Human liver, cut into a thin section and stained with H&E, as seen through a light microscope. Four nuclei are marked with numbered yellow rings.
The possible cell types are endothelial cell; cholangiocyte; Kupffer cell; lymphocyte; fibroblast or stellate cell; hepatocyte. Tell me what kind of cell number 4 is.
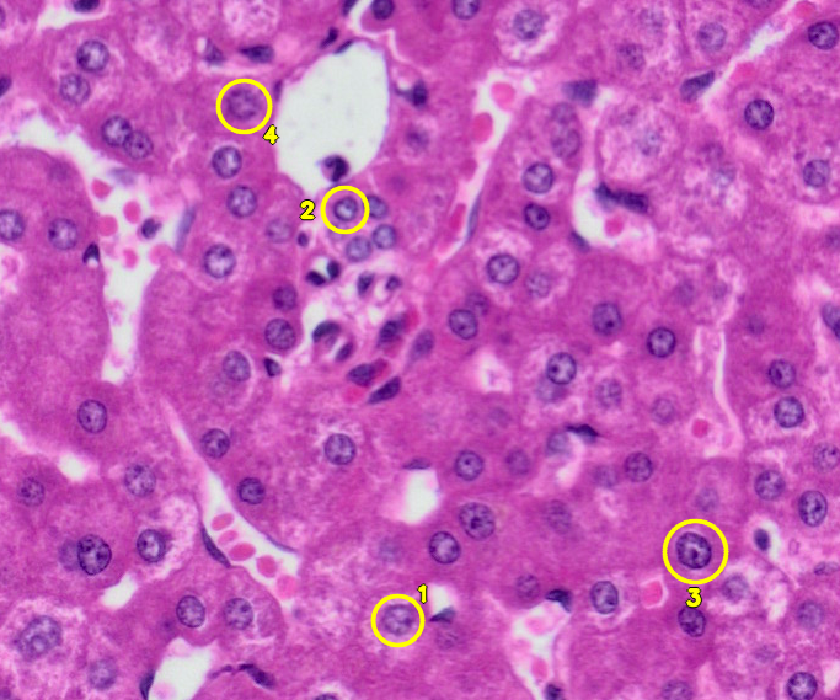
hepatocyte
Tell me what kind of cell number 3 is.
hepatocyte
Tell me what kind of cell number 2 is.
cholangiocyte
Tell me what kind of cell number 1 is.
hepatocyte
